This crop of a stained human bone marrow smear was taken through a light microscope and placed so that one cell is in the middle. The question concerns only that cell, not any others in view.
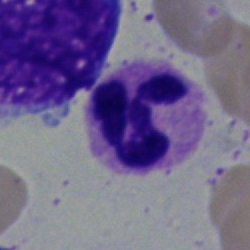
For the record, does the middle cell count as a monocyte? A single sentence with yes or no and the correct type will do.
No, in this crop the middle cell is a neutrophil, not a monocyte.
